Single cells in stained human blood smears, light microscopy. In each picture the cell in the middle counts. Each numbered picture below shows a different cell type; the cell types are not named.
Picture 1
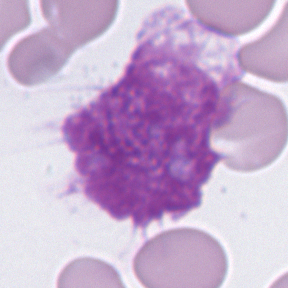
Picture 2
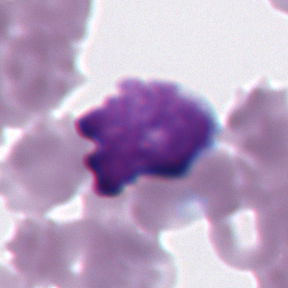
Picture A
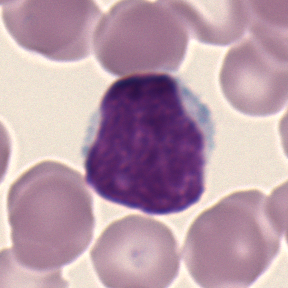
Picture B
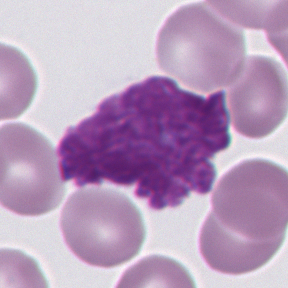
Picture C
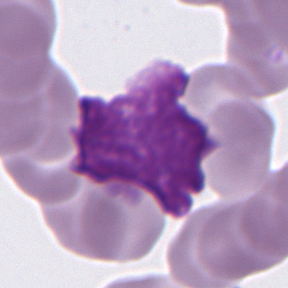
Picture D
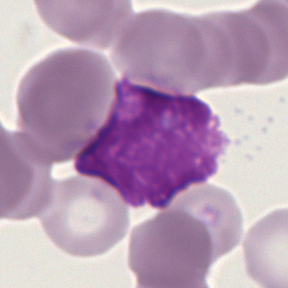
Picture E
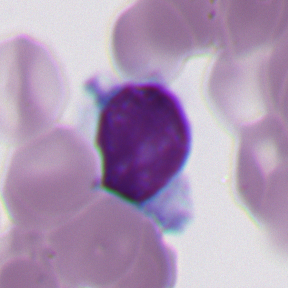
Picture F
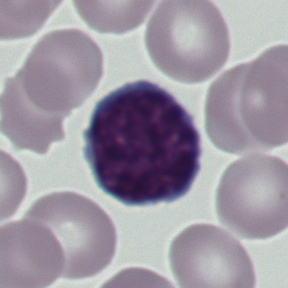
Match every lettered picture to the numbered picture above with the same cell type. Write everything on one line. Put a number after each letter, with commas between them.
A 2, B 1, C 1, D 1, E 2, F 2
